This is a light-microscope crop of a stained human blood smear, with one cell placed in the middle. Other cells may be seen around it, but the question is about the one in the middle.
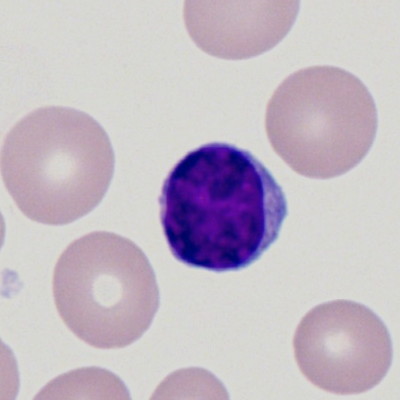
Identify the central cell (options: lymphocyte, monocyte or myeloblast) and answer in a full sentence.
The cell of interest, in the center, is a lymphocyte.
